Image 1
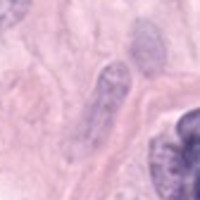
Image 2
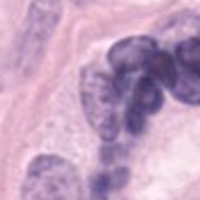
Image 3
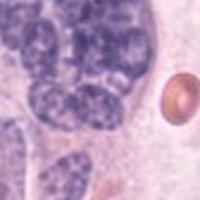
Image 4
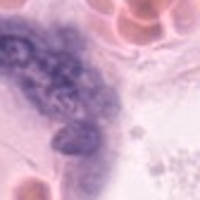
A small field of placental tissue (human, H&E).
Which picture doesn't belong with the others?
Picture 1.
